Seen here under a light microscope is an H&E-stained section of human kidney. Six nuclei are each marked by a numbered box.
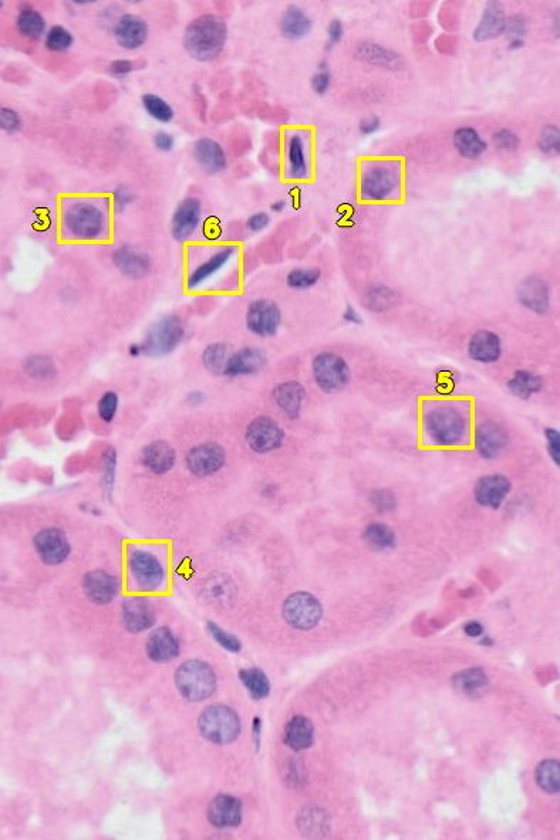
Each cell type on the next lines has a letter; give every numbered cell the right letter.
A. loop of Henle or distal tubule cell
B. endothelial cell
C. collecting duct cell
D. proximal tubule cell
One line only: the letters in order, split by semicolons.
B; D; D; B; D; B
